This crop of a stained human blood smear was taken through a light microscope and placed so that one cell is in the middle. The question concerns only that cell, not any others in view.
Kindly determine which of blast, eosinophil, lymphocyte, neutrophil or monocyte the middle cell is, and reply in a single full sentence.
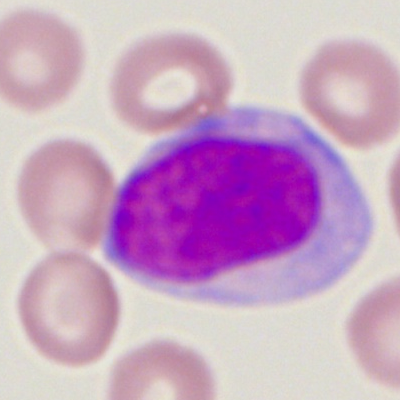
The cell found in the middle of this crop is a blast.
